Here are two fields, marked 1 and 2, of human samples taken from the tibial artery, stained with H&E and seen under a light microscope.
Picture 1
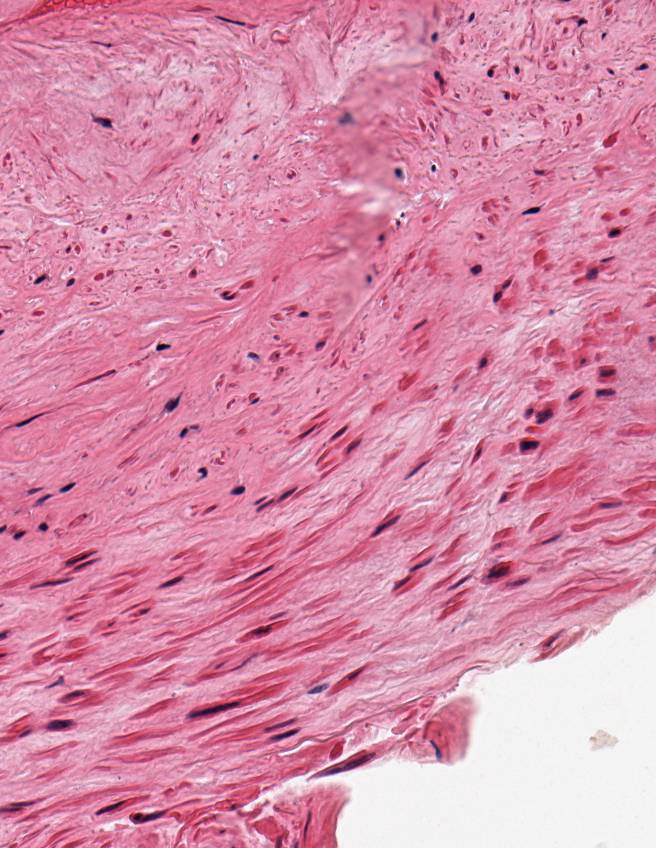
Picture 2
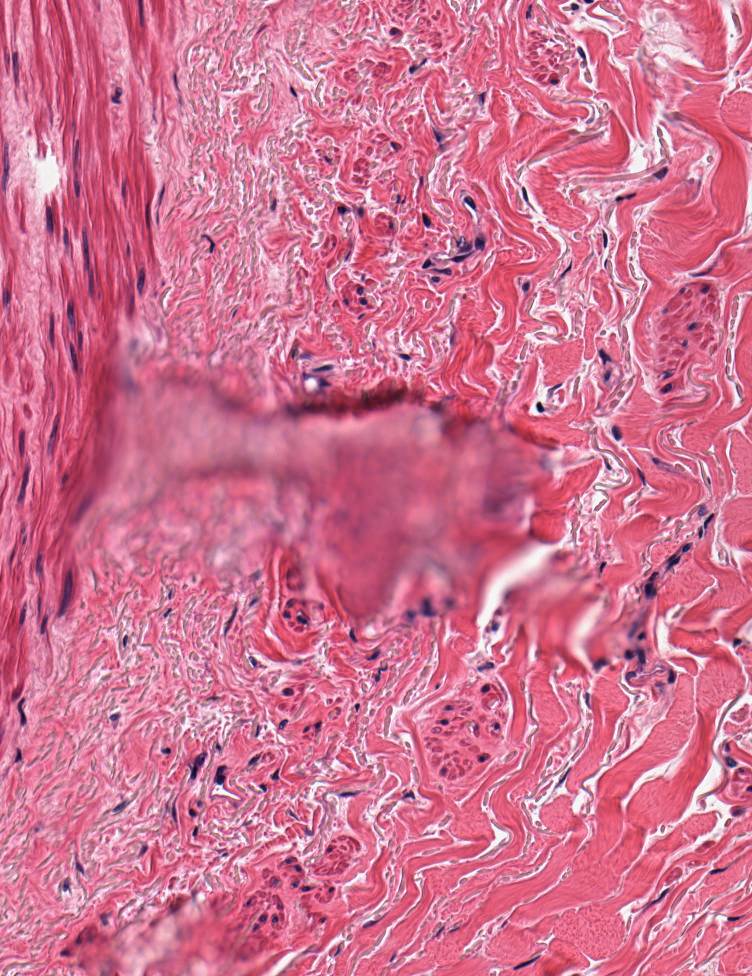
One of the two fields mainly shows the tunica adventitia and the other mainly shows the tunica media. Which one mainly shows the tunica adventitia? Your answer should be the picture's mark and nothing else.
2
